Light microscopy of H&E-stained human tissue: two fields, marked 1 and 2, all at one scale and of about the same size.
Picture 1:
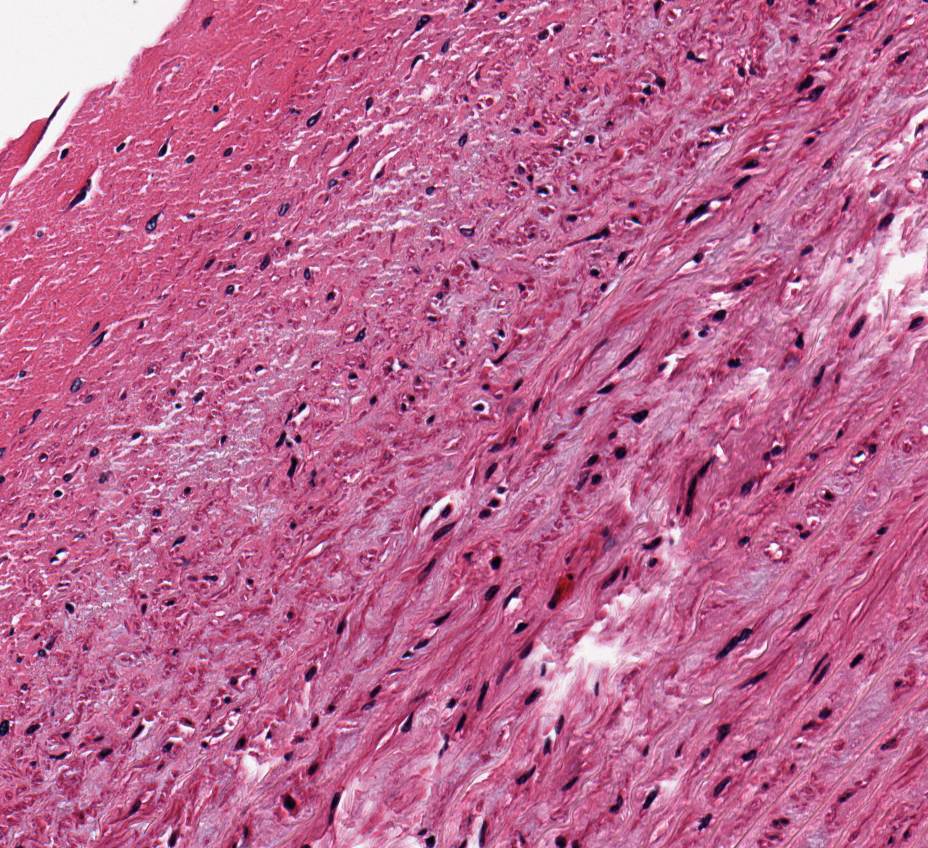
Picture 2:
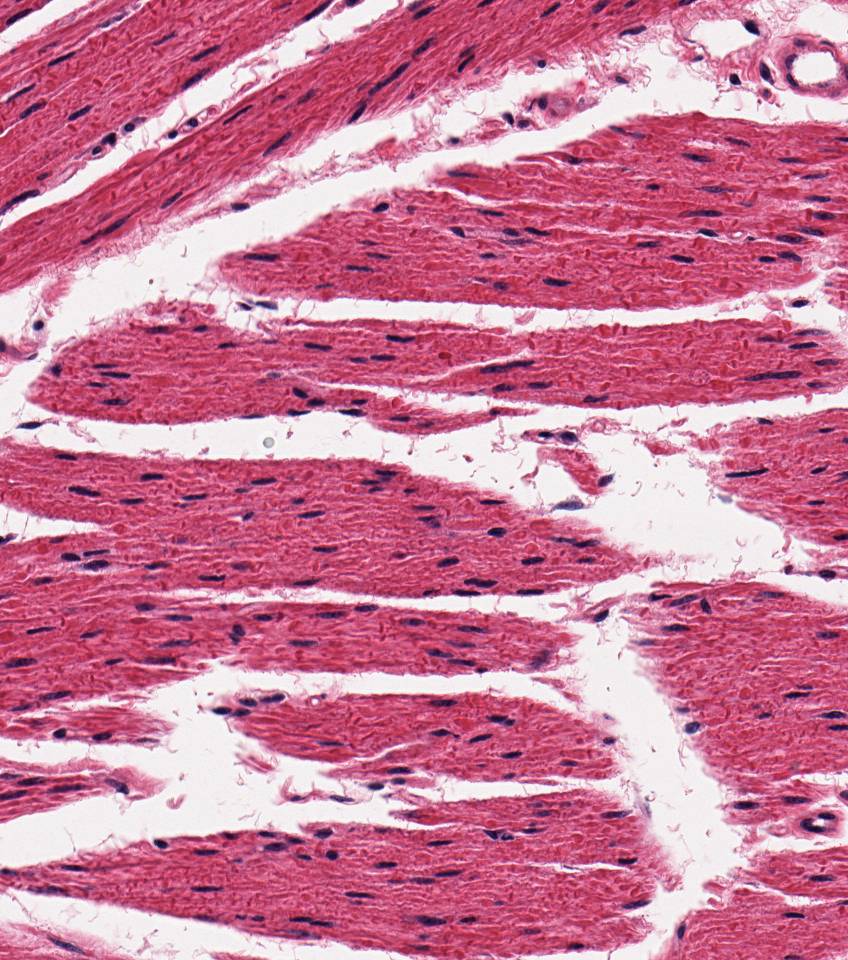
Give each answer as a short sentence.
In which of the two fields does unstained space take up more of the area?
It is picture 2 in which white space covers the larger part.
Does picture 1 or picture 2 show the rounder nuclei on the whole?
Rounder nuclei lie in picture 1.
